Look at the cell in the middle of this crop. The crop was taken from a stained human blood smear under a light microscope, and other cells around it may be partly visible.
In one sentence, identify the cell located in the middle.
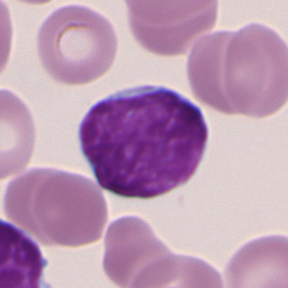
Standing at the centre of this crop is a typical lymphocyte.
